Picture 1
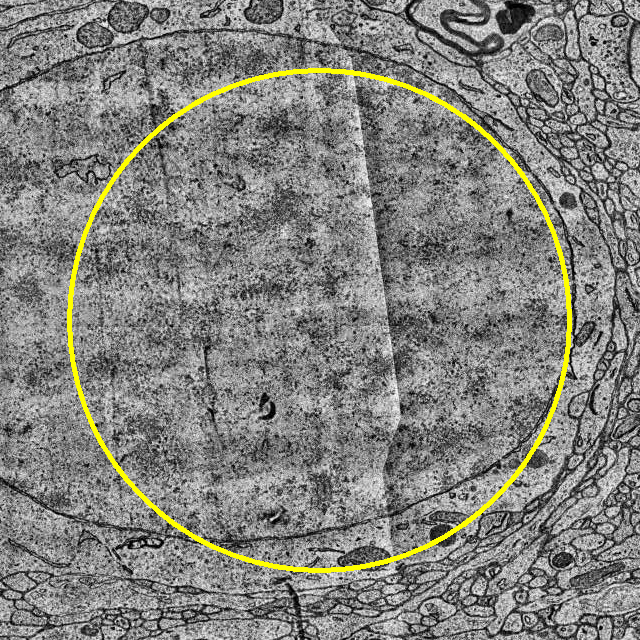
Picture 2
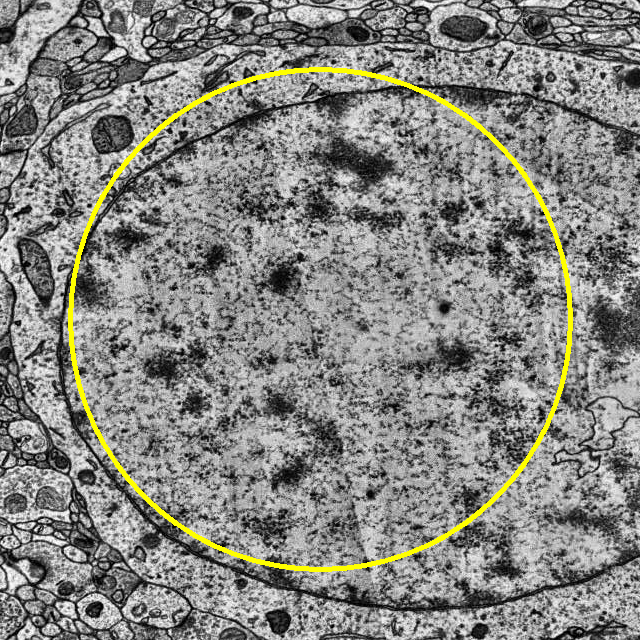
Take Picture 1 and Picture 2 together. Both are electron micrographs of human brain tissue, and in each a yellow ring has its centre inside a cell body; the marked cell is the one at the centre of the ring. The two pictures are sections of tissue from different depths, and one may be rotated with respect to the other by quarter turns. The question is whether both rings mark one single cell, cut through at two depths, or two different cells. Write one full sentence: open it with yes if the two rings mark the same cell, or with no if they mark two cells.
Yes, both rings identify a single, shared cell.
